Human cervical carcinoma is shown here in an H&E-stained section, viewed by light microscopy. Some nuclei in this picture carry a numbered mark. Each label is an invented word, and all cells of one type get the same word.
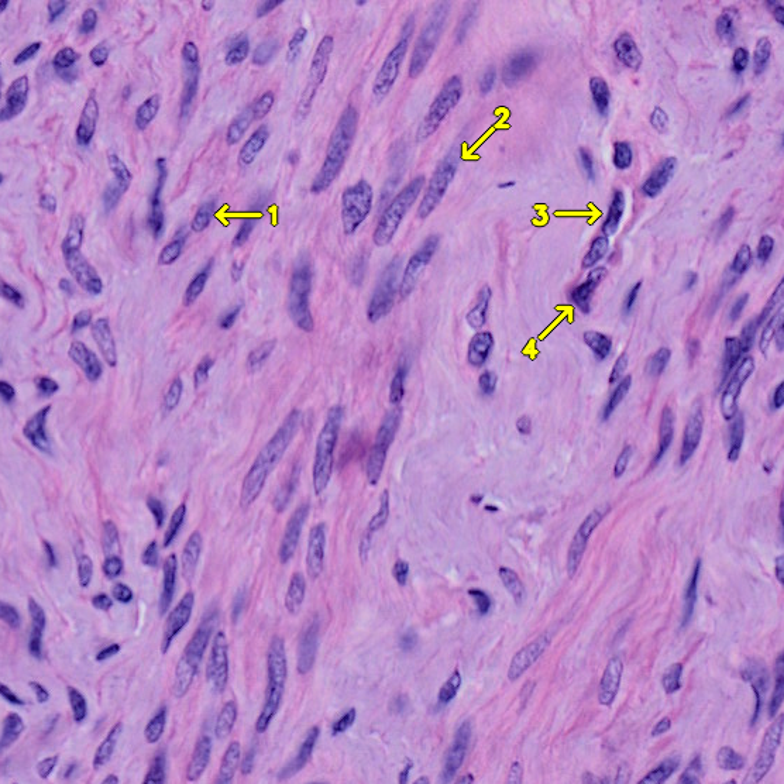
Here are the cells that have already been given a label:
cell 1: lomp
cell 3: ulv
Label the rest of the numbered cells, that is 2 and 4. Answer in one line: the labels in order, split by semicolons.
lomp; ulv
